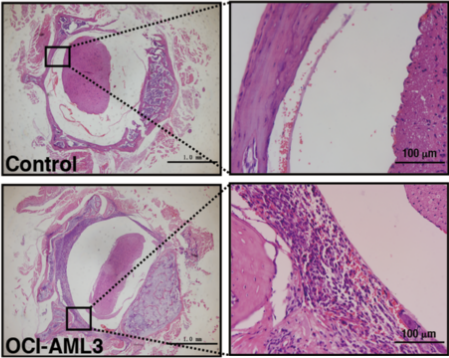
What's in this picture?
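Cross-sections of the spinal column stained pink and purple show the spinal cord lying within a wide canal surrounded by bone and soft tissue. The enlargements show the canal lining. In the lower enlargement the lining is thickened and packed with many small round cells with dark nuclei, spread between pink fibrous strands along the canal wall.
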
